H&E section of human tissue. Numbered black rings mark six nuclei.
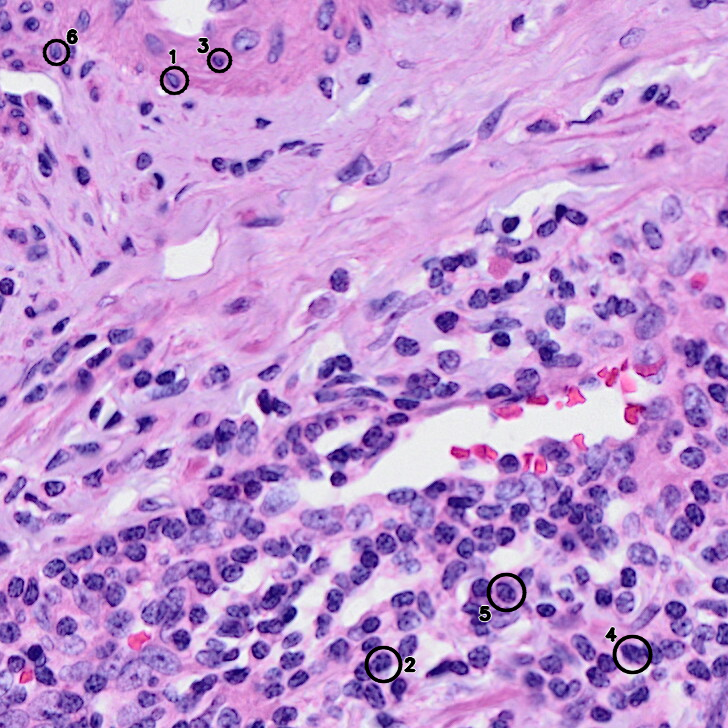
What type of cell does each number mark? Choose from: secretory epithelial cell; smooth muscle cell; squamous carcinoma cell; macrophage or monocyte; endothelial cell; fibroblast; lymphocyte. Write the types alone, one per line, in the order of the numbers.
smooth muscle cell
lymphocyte
smooth muscle cell
lymphocyte
lymphocyte
smooth muscle cell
